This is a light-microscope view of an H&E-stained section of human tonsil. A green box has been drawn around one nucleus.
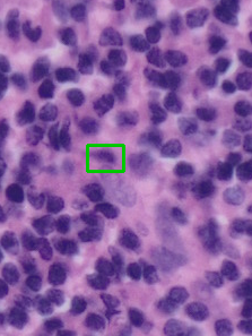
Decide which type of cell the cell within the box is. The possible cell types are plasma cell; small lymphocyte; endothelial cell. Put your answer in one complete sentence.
It is as an endothelial cell that the cell within the box is classified.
